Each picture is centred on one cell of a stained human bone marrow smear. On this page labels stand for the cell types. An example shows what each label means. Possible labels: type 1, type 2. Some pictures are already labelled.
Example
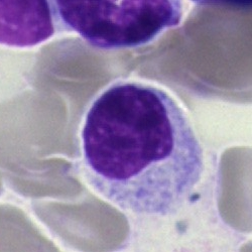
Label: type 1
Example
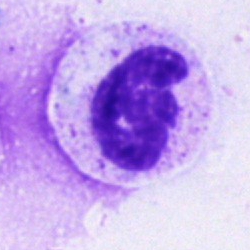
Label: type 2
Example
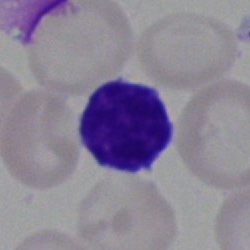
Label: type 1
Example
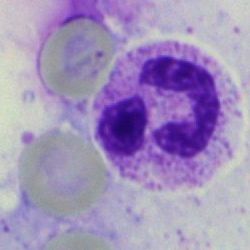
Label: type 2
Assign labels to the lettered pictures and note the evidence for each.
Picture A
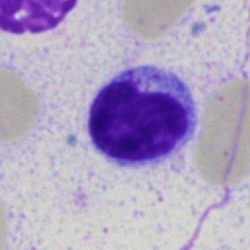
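type 1. The nucleus fills most of the cell.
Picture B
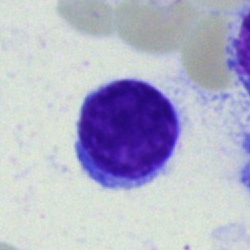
type 1. The cytoplasm is a thin rim that is widest at the lower left.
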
